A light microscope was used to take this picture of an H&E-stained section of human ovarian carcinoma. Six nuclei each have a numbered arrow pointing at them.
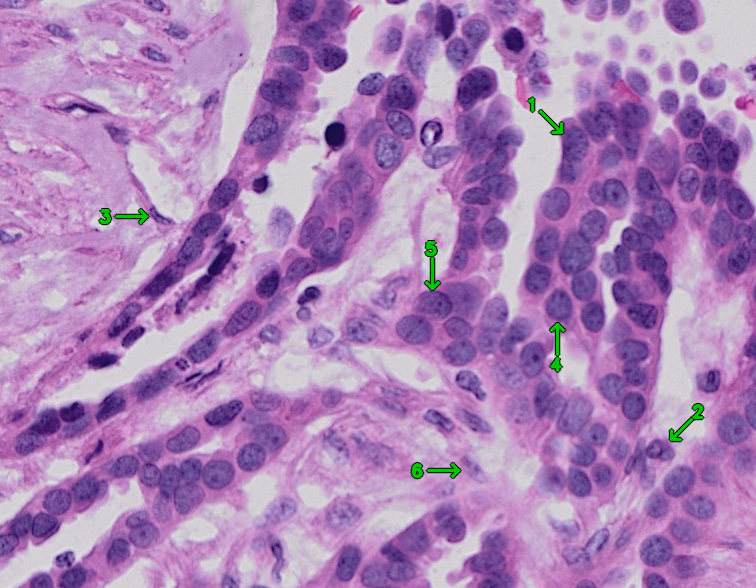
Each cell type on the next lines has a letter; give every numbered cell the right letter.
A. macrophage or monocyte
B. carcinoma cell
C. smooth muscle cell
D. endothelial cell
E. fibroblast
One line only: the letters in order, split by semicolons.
B; A; E; B; B; E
